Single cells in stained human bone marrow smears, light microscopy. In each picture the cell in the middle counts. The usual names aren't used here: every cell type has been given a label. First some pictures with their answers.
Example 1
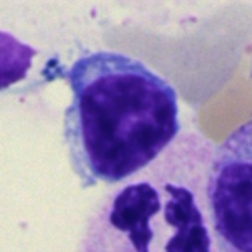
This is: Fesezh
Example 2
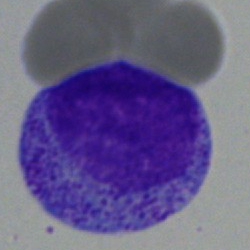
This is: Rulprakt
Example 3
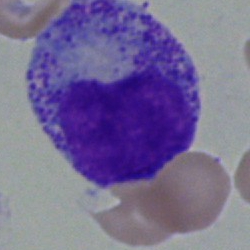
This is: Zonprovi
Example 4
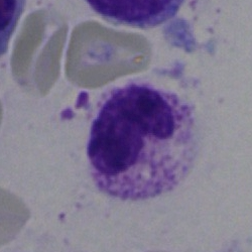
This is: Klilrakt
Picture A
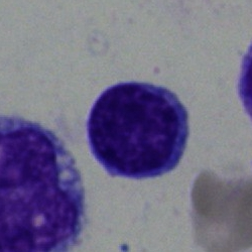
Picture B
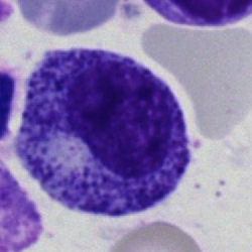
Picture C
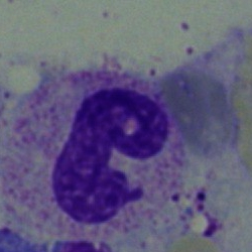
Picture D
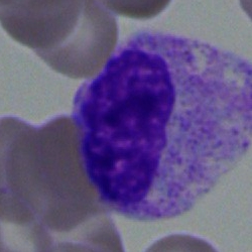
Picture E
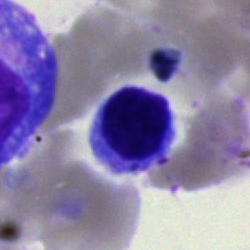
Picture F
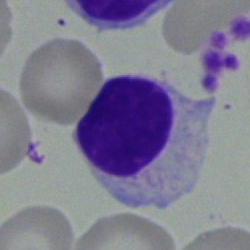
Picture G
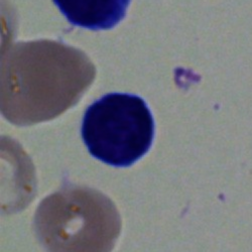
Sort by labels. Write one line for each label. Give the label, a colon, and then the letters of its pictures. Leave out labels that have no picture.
Fesezh: A, E, F, G
Rulprakt: B
Zonprovi: D
Klilrakt: C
